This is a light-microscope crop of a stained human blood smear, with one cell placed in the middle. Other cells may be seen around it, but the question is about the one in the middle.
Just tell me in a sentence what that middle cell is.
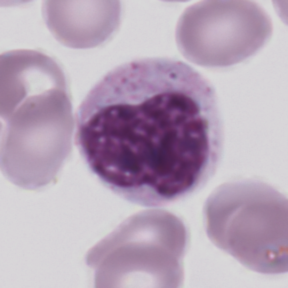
The cell positioned in the middle of the field is a metamyelocyte.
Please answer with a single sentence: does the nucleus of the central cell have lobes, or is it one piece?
A single compact nucleus, round, oval or kidney-shaped, is what this cell shows.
